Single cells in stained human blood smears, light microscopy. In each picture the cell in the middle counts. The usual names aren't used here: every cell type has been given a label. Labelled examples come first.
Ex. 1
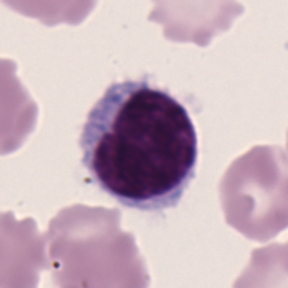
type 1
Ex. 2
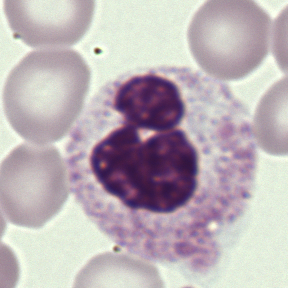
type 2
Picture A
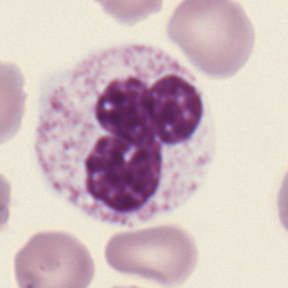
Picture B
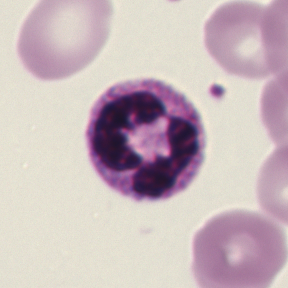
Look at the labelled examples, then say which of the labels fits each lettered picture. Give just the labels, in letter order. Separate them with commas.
type 2, type 2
